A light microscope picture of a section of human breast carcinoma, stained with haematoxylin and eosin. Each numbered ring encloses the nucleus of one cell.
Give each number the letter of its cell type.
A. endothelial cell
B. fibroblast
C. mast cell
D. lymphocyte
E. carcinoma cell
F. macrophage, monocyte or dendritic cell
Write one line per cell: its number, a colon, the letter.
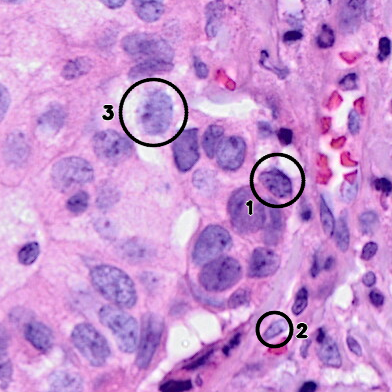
1: E
2: A
3: E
